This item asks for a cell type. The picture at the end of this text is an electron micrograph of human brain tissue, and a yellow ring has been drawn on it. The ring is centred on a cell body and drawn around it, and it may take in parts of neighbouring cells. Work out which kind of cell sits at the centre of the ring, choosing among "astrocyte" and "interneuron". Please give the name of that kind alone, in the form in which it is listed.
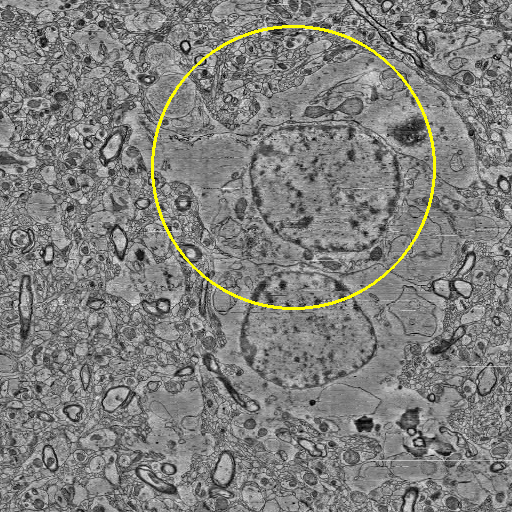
astrocyte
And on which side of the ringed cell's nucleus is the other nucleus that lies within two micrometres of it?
The other nucleus lies below it.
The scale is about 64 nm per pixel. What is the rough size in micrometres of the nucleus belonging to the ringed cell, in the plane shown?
The nucleus of the ringed cell is approximately 9 micrometres across in this plane.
